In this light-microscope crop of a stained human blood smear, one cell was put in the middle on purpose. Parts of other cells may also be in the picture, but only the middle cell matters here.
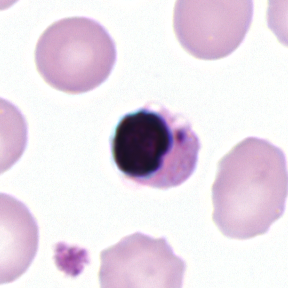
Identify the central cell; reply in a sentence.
For this crop, the central cell is a normoblast.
